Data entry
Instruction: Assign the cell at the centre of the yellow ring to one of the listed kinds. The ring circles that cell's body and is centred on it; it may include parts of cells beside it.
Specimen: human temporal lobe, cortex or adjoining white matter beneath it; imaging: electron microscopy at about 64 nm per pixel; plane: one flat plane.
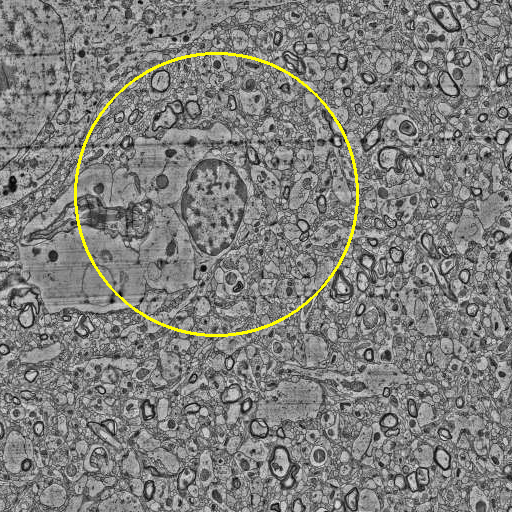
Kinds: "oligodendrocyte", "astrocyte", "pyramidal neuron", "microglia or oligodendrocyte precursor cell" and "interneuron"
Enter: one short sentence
The centre of the ring falls on a microglial cell or oligodendrocyte precursor cell.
